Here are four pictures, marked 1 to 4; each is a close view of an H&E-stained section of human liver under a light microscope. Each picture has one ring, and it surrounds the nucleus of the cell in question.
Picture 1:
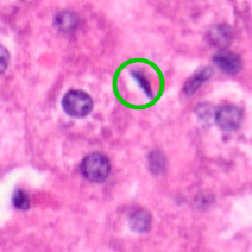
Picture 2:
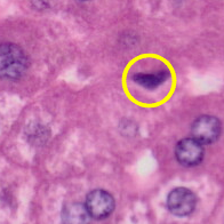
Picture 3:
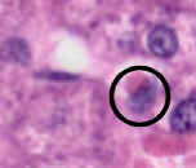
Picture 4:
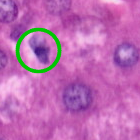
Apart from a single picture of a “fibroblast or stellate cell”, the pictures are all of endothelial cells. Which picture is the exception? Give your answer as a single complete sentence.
Picture 2 shows the “fibroblast or stellate cell”.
